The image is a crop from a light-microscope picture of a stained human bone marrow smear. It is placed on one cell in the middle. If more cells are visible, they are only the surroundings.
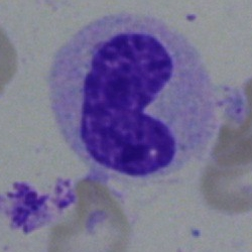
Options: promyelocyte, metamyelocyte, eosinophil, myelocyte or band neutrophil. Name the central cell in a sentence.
In the centre of this crop there is a band neutrophil.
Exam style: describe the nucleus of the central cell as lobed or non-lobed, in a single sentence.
Have a look at the nucleus, which is one compact mass, round, oval or kidney-shaped.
